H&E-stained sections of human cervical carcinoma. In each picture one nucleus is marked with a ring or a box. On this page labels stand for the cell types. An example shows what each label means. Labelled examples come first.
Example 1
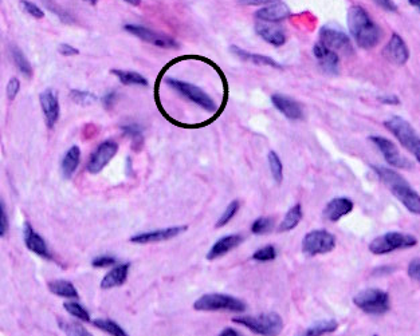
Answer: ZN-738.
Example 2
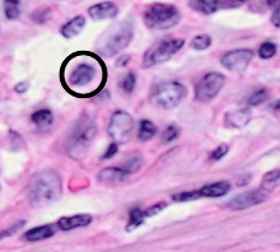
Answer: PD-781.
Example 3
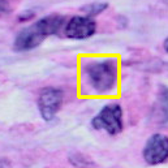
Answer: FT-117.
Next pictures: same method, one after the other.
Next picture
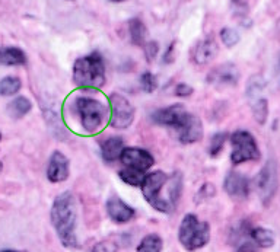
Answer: PD-781.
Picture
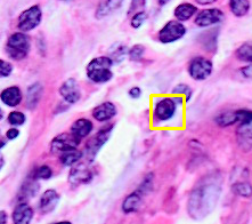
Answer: PD-781.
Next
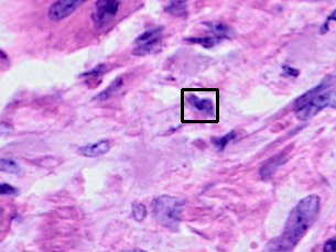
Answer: ZN-738.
